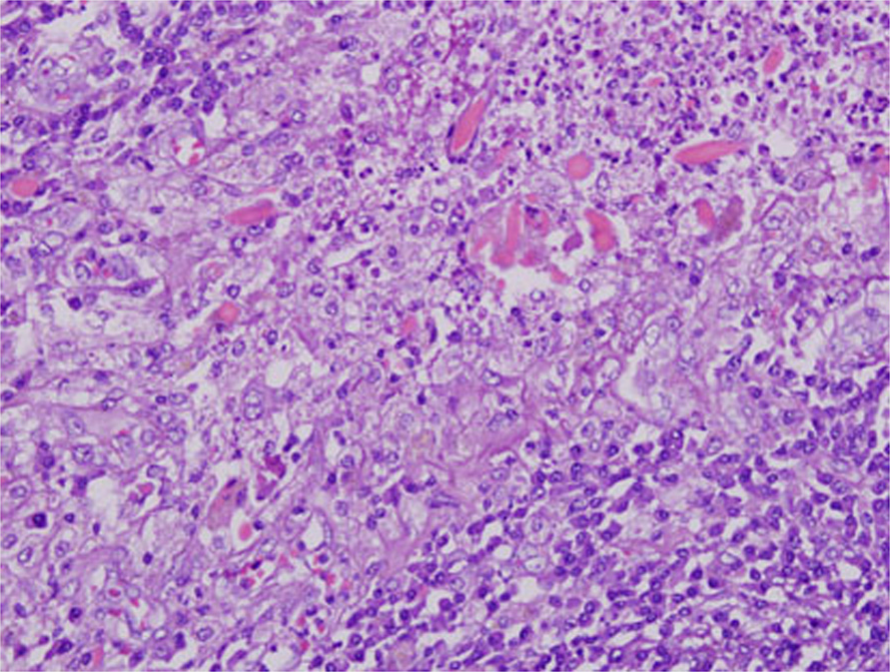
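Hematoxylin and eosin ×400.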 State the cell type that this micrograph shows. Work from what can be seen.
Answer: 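Epithelioid histiocytes. Many large cells with abundant pale, finely vacuolated pink cytoplasm. Oval to bean-shaped pale vesicular nuclei, some with small nucleoli. The cells lie close together in sheets with indistinct borders.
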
